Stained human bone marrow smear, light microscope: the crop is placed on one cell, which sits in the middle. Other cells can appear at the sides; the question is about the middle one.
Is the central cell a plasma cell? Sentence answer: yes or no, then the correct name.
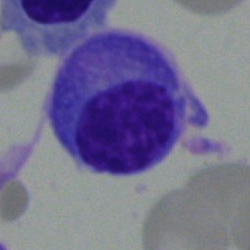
Yes, a plasma cell is present in the middle of the crop.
